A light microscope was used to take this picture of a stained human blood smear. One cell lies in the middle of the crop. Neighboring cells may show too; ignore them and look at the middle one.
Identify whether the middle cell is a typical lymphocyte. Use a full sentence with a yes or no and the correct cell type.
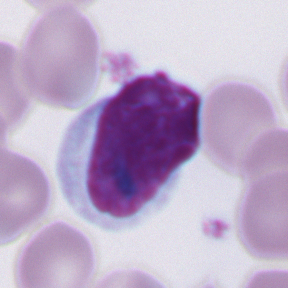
Yes, the cell under consideration, the one in the middle, is a typical lymphocyte.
